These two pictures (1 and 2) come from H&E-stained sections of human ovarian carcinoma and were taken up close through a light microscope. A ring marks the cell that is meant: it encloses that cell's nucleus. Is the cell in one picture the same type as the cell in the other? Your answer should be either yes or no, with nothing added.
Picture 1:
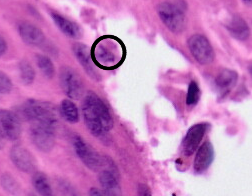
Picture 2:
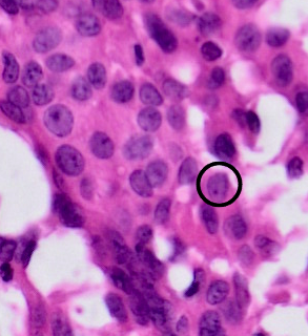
no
